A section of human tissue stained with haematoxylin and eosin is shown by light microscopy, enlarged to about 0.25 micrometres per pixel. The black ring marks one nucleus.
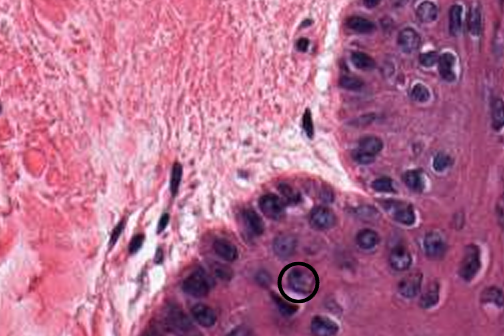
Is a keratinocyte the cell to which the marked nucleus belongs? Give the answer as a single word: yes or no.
yes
